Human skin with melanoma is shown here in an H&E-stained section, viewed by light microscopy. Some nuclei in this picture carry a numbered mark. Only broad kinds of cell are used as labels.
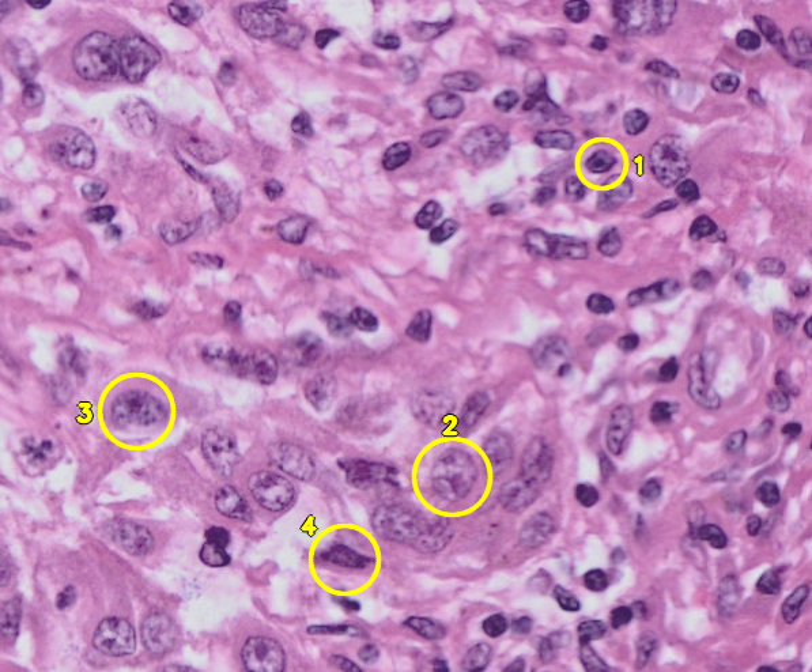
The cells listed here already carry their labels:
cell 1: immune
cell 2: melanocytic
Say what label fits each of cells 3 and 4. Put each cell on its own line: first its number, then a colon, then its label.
3: melanocytic
4: melanocytic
